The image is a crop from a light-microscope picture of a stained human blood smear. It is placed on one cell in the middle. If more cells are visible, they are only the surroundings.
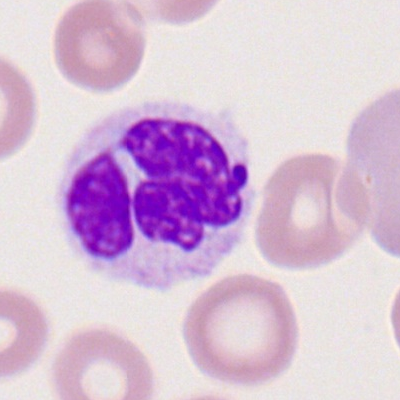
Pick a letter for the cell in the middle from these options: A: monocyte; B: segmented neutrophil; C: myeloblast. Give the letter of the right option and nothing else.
A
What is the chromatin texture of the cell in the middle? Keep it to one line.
The chromatin of this one is coarsely clumped.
